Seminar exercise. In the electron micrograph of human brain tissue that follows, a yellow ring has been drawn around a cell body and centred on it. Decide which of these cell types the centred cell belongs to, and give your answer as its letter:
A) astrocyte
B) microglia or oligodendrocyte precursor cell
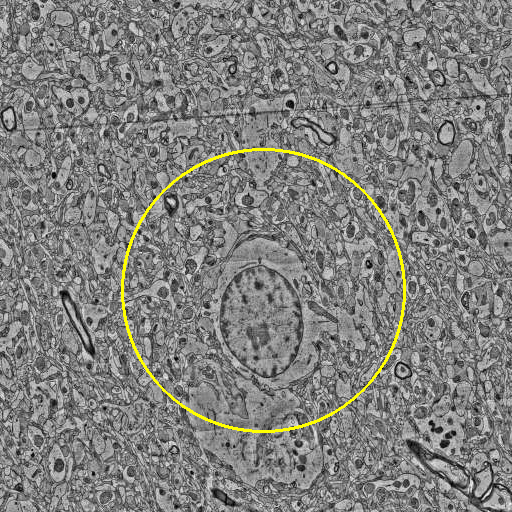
A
